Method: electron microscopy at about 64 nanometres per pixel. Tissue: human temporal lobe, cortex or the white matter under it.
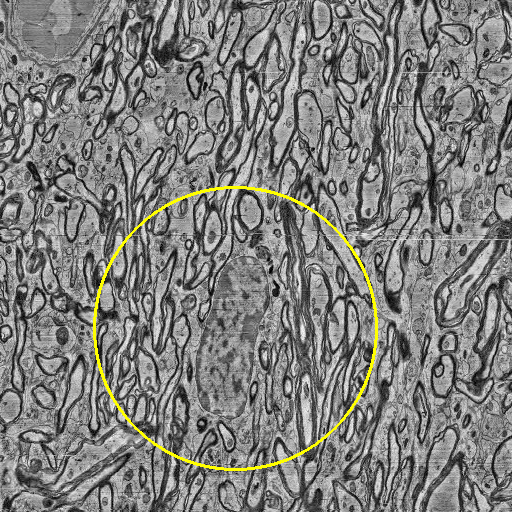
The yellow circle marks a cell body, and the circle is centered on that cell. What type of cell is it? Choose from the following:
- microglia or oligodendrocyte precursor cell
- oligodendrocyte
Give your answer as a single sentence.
This cell body belongs to a microglial cell or oligodendrocyte precursor cell.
